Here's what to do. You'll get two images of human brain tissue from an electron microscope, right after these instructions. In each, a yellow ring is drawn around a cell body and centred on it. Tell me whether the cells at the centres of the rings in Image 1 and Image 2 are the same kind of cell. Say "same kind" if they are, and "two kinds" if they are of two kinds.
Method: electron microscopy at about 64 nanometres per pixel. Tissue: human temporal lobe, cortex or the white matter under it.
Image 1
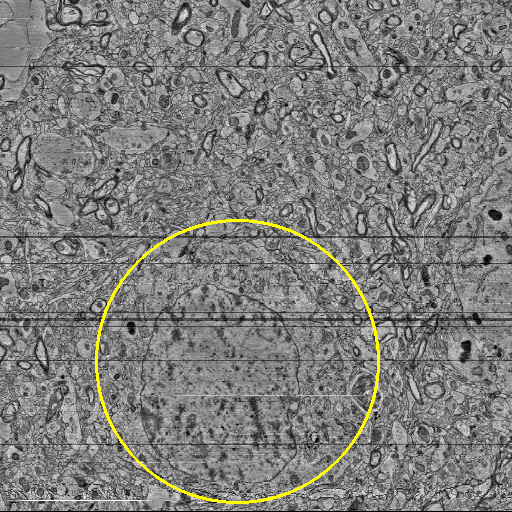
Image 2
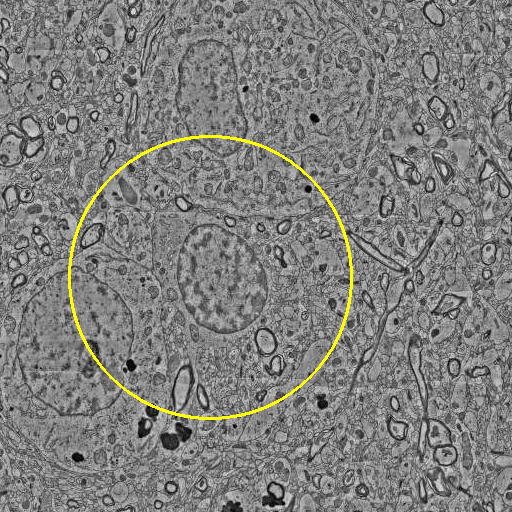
two kinds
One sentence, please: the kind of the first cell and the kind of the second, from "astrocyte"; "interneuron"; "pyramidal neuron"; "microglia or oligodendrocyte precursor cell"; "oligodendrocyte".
The ring in the first picture surrounds a pyramidal neuron, and the ring in the second surrounds an oligodendrocyte.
